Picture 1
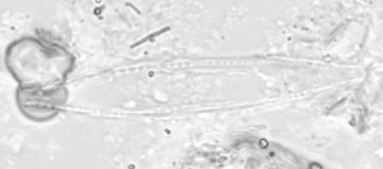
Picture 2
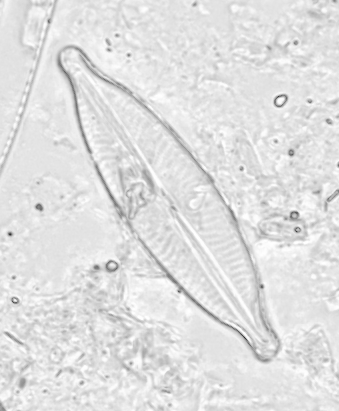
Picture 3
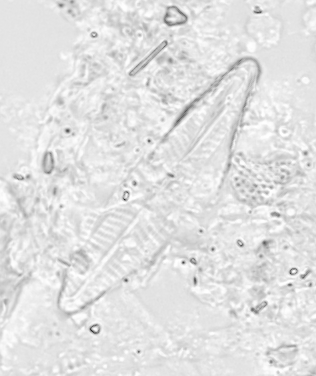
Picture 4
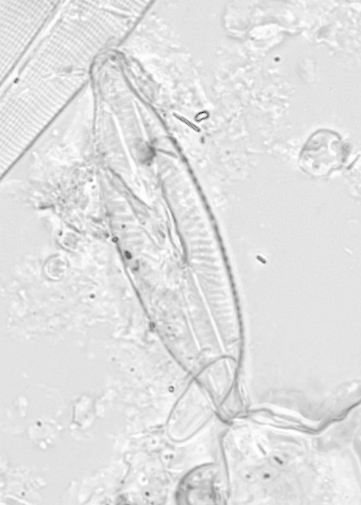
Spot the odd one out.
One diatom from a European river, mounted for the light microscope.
Picture 1 (Nitzschia among Navicula).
